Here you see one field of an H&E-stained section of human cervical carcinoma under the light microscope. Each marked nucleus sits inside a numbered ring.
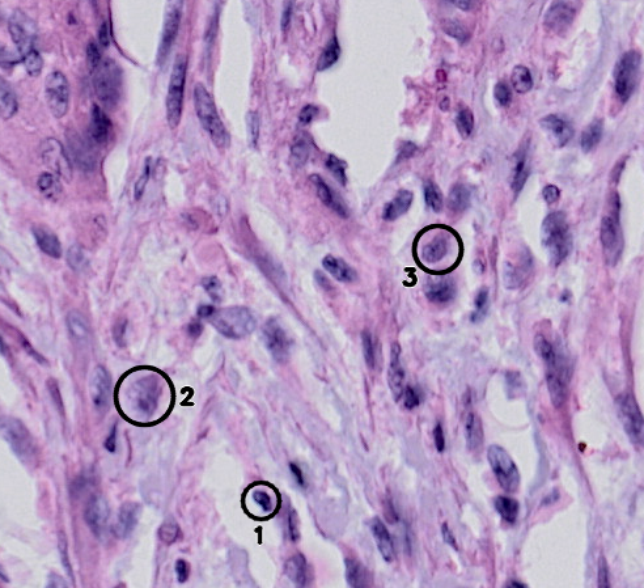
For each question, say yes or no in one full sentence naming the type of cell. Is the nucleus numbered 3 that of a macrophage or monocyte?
Yes, the cell with the number 3 is a macrophage or monocyte.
